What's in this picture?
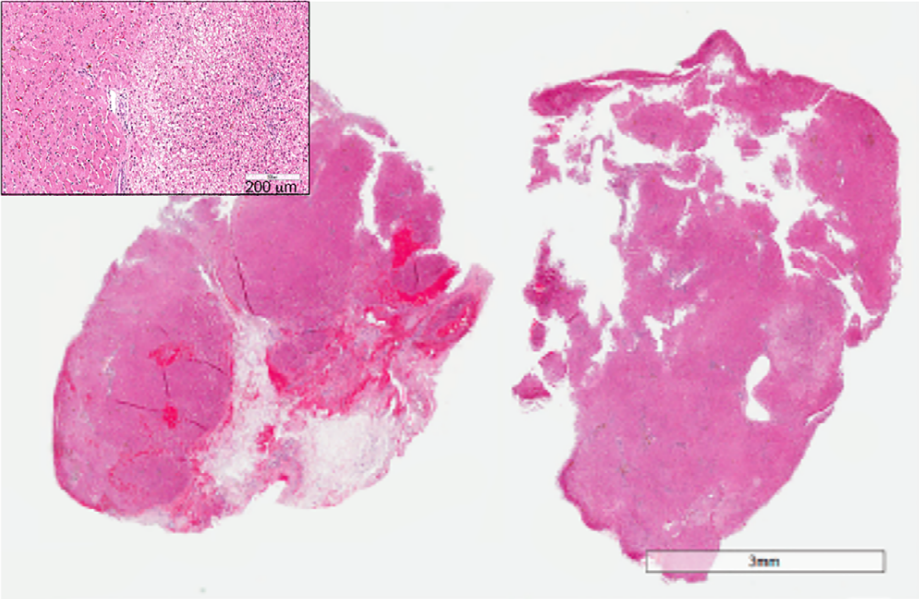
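Two liver pieces are largely solid, evenly pink parenchyma, with some pale loose areas and red blood-filled spots in one of them. The inset shows liver cells with pink cytoplasm on one side meeting paler cells with lighter, vacuolated cytoplasm on the other.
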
